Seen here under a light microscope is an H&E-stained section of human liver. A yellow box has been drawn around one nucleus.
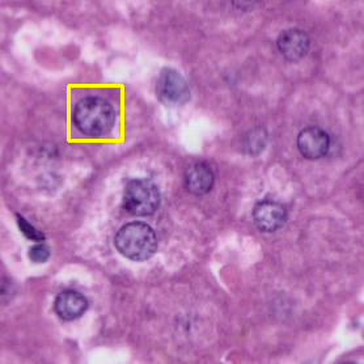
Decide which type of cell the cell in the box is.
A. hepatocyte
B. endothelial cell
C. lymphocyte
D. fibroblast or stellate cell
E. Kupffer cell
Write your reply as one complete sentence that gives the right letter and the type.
Option A is correct in that the cell in the box is a hepatocyte.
